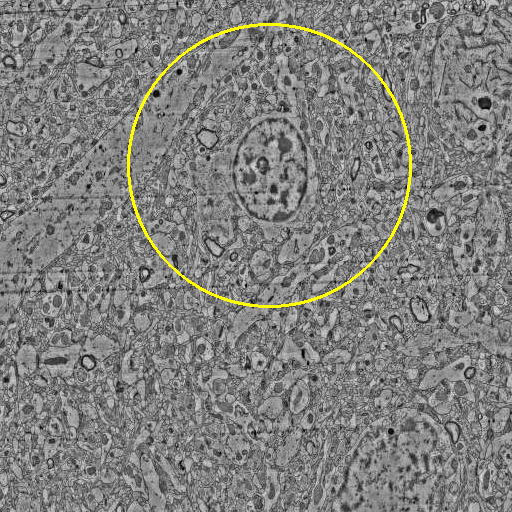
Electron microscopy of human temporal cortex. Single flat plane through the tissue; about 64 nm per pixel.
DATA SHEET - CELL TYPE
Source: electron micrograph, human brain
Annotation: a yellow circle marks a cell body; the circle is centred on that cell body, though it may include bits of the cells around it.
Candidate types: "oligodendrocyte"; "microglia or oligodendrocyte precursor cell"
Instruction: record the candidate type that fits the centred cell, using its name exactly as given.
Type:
microglia or oligodendrocyte precursor cell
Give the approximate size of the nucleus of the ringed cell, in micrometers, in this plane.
The nucleus has a long axis of about 7 micrometres and a short axis of about 5 micrometres in this plane.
